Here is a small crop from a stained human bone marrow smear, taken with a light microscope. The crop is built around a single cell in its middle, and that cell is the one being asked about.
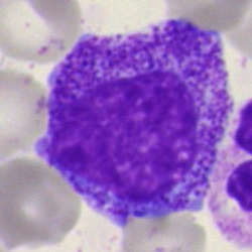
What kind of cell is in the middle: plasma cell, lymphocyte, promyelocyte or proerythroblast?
promyelocyte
